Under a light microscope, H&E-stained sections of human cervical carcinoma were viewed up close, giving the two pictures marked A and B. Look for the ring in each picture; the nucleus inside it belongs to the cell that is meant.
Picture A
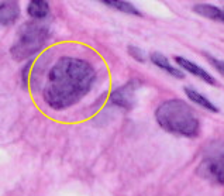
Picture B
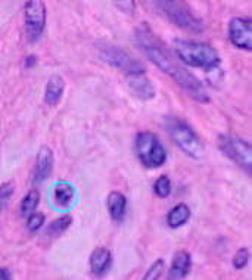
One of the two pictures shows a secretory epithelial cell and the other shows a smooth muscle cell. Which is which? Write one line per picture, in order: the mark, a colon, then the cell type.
A: secretory epithelial cell
B: smooth muscle cell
